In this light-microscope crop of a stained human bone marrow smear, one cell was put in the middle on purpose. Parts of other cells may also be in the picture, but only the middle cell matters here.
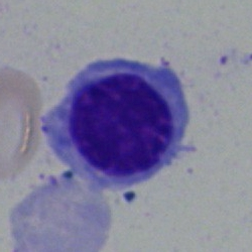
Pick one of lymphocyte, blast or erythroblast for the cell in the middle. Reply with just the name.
erythroblast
